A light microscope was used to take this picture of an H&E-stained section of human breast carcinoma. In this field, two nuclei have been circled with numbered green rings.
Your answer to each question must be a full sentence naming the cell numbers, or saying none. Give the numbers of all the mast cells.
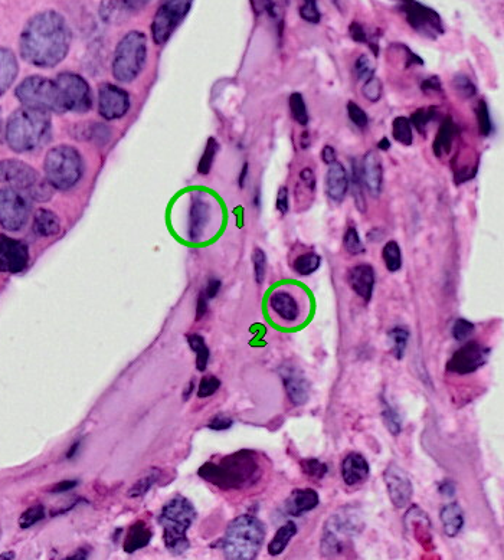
Only one choice fits: cell 2 is a mast cell, and no other.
